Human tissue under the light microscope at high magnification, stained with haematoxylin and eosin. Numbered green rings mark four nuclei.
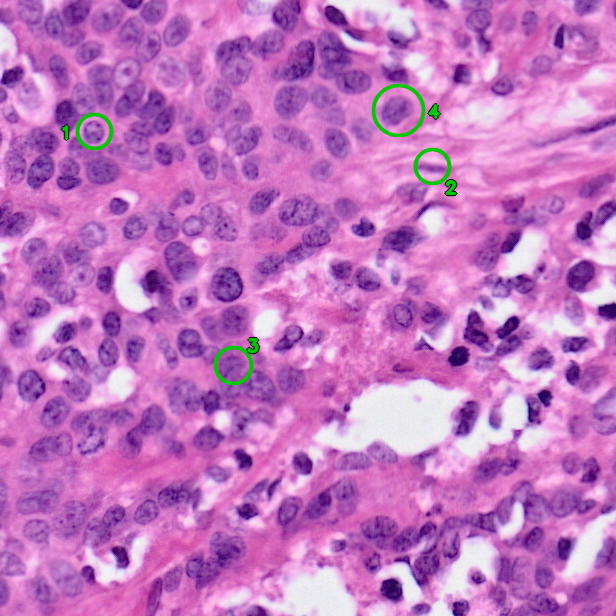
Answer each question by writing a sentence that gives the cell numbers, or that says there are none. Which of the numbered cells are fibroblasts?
Only one choice fits: cell 2 is a fibroblast, and no other.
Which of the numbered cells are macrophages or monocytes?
Only number 1 is a macrophage or monocyte; none of the others are.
